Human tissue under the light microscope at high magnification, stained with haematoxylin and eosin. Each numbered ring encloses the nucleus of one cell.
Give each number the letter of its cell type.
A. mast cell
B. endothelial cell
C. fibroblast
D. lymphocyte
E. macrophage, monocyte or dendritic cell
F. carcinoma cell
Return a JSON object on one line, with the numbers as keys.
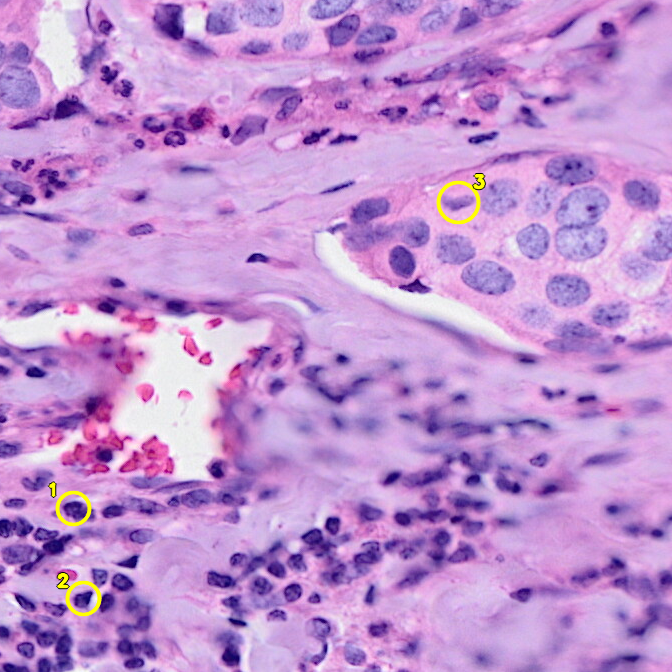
{"1": "D", "2": "D", "3": "F"}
